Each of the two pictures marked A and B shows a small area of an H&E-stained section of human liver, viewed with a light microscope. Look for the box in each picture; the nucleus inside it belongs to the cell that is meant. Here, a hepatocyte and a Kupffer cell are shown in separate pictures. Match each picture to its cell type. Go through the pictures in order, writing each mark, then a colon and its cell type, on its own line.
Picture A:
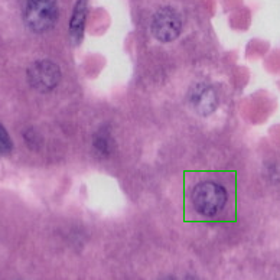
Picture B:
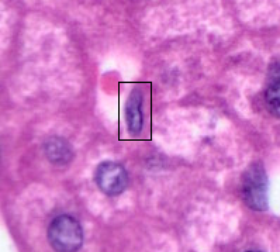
A: hepatocyte
B: Kupffer cell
